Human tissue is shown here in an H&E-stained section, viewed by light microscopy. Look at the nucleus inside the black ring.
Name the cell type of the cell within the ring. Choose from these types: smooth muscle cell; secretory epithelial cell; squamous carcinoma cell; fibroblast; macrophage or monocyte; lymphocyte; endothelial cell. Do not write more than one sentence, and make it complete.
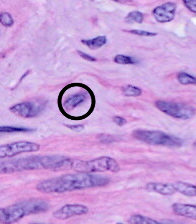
In the stained section, the cell within the ring is a smooth muscle cell.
